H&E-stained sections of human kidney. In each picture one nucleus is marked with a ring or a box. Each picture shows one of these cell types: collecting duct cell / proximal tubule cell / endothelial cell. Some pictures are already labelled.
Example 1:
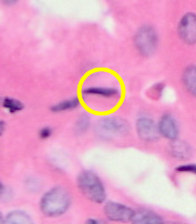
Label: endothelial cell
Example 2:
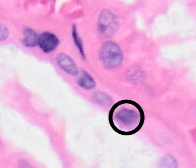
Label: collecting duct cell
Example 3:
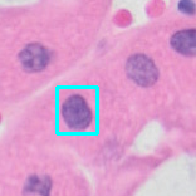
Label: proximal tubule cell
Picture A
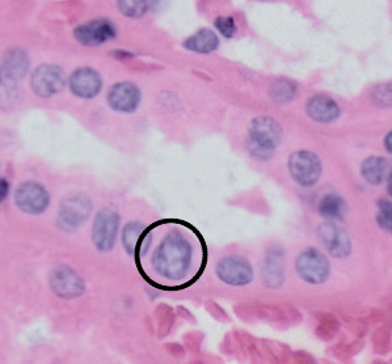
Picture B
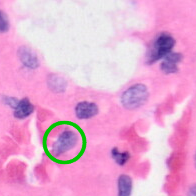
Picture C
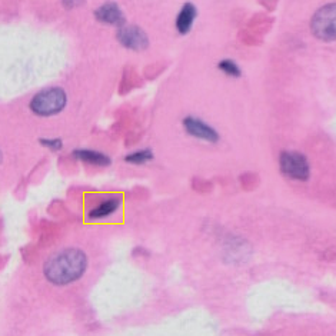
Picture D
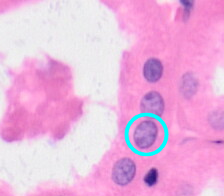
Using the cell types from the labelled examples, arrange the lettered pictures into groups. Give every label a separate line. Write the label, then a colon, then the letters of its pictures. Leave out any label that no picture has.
collecting duct cell: A
proximal tubule cell: D
endothelial cell: B, C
